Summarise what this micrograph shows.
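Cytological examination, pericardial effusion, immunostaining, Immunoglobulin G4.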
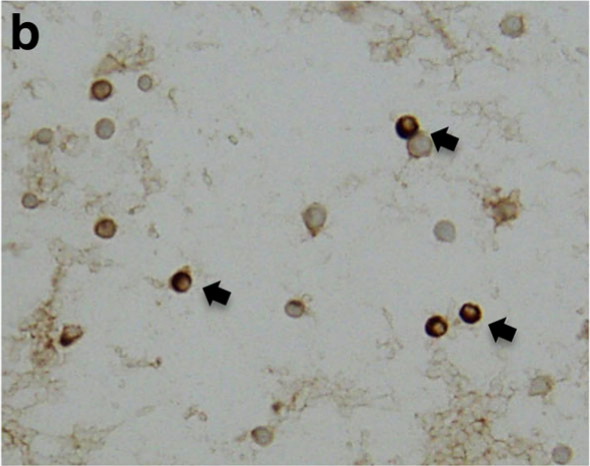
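This is a preparation of fluid cells on a pale background, with scattered single round cells, some of them plasma cells. The plasma cells are small, round and stained dark brown, often most intensely at their rim. Beside them lie other round cells of similar size that are pale grey or only faintly tan. The cells lie apart from each other, with at most two touching. Between them, irregular fine, light brown fibrillar strands and wisps streak the background.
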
